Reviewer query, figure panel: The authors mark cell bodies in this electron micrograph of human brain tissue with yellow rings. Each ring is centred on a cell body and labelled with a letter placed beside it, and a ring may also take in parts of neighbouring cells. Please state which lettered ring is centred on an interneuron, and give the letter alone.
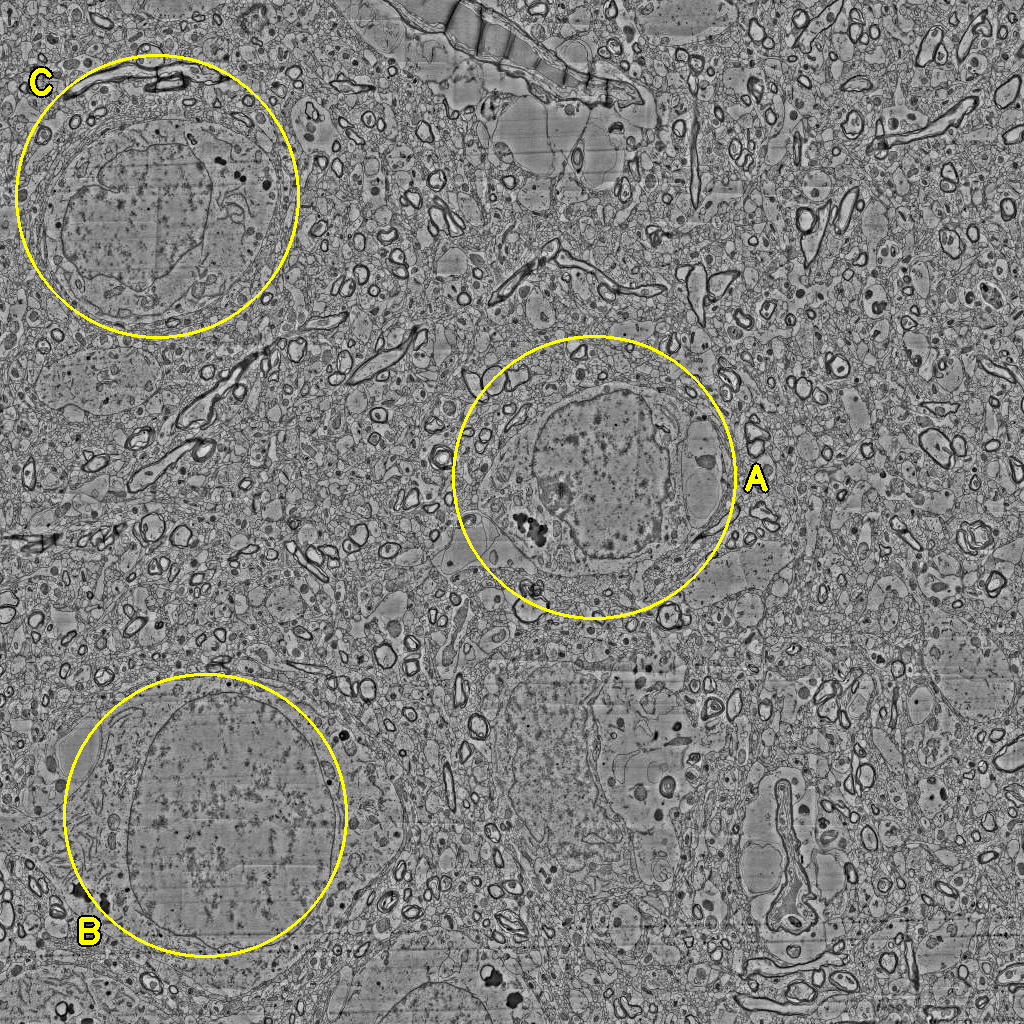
A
